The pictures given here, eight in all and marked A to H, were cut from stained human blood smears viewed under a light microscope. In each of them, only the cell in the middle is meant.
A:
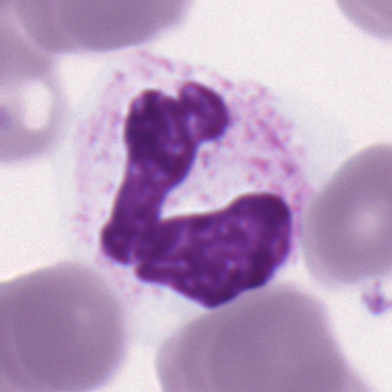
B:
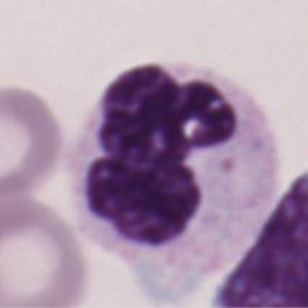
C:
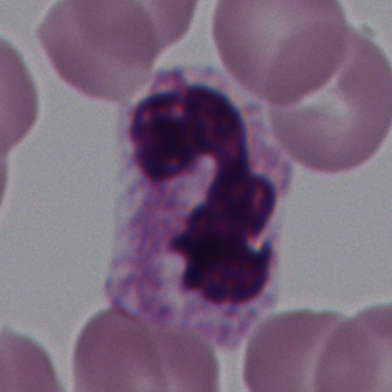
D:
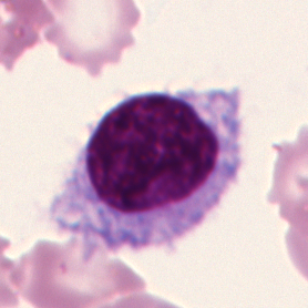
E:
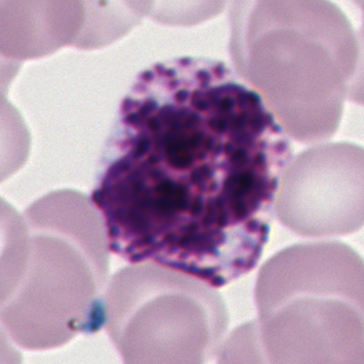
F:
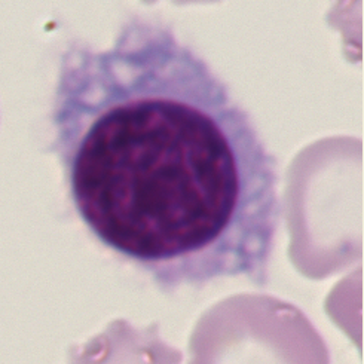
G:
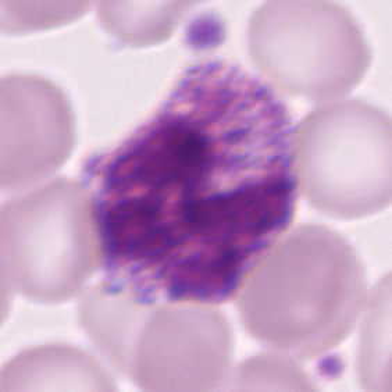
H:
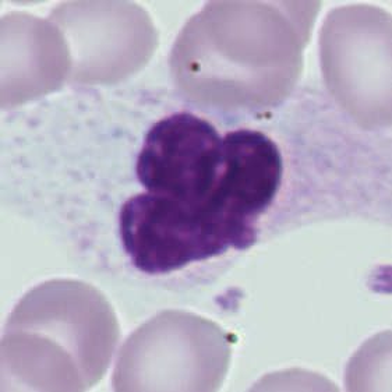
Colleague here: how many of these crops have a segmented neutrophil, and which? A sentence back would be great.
Crops A, B, C and H are those with segmented neutrophils, four crops in total.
